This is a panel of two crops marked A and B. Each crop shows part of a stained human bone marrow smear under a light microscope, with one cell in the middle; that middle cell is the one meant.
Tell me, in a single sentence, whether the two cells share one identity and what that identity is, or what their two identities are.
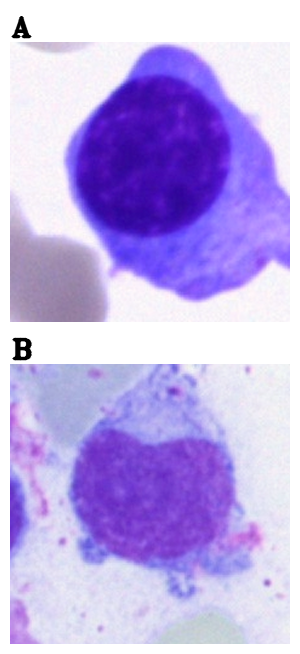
No, the correct reading is a plasma cell in crop A and a hairy cell in crop B.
